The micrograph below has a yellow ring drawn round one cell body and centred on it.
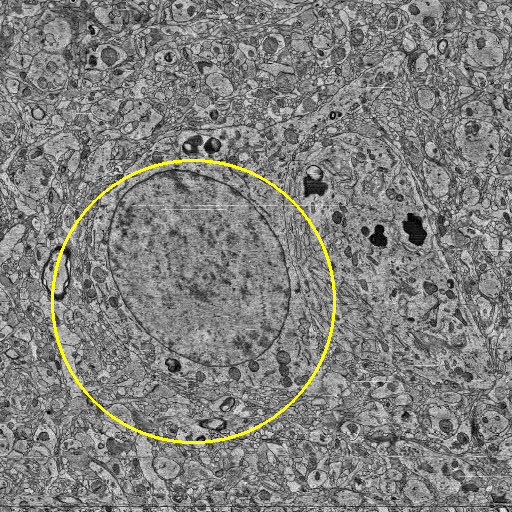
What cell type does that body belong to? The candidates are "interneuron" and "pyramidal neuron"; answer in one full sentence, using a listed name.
This is a pyramidal neuron, the cell whose body lies at the centre of the ring.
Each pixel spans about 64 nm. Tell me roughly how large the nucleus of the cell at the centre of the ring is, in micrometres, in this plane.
Roughly 14 by 11 micrometres is the size of the nucleus in this plane.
